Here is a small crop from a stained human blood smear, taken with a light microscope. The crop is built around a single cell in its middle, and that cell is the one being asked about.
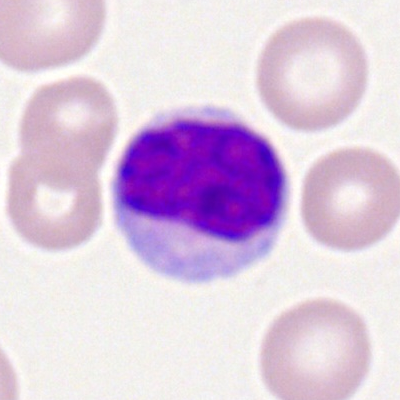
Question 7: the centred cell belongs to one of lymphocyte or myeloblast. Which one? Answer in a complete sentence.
Here the centrally located cell is a lymphocyte.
